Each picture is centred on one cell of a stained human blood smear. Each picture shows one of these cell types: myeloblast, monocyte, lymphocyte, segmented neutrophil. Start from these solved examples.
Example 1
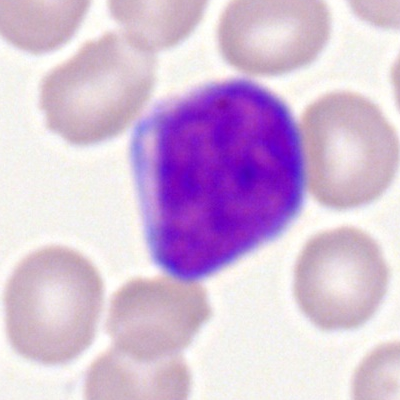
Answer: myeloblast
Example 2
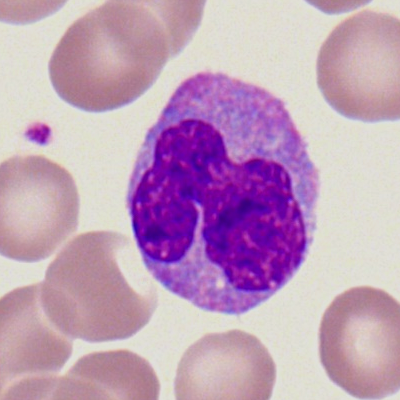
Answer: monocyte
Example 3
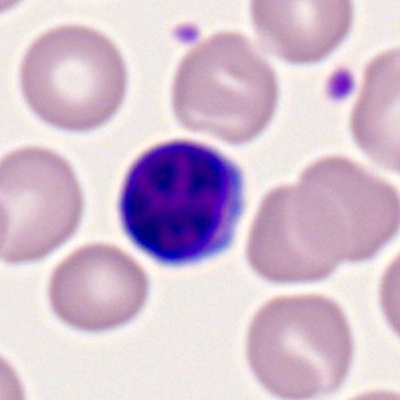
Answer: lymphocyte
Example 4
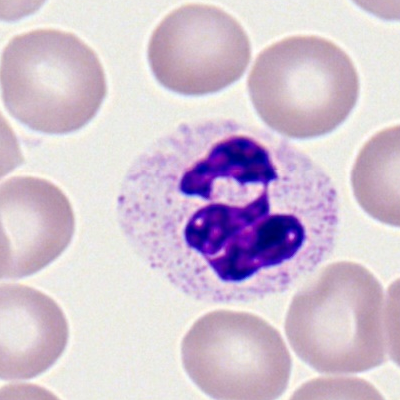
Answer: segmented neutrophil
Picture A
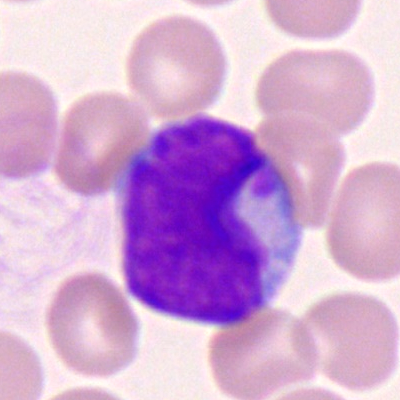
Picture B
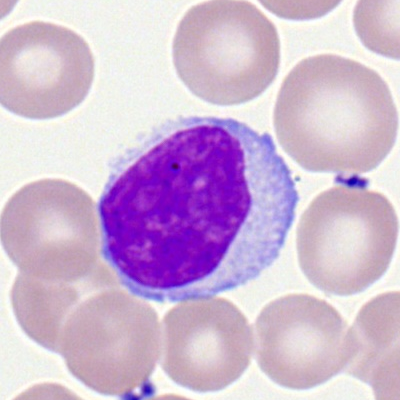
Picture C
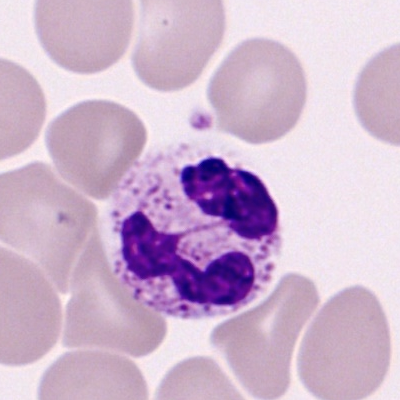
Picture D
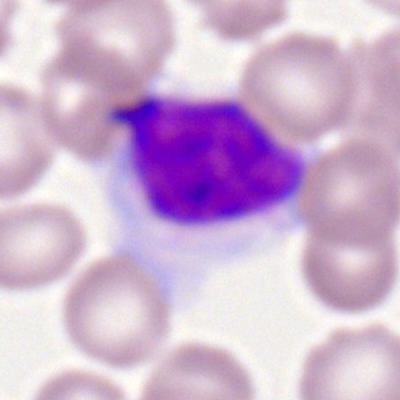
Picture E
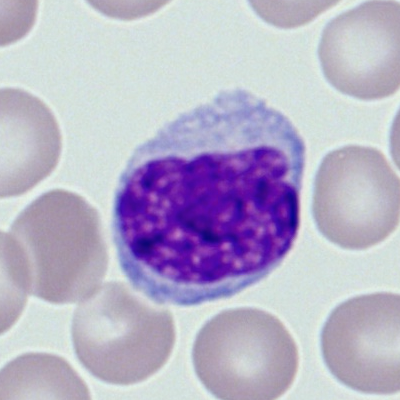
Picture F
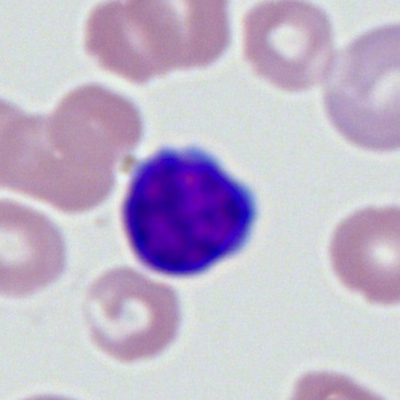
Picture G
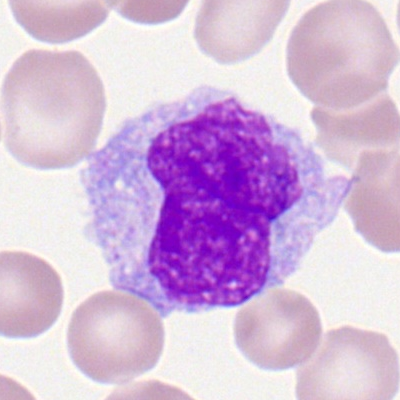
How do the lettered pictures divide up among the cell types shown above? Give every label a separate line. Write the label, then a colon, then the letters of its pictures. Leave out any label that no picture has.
myeloblast: A
monocyte: E, G
lymphocyte: B, D, F
segmented neutrophil: C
